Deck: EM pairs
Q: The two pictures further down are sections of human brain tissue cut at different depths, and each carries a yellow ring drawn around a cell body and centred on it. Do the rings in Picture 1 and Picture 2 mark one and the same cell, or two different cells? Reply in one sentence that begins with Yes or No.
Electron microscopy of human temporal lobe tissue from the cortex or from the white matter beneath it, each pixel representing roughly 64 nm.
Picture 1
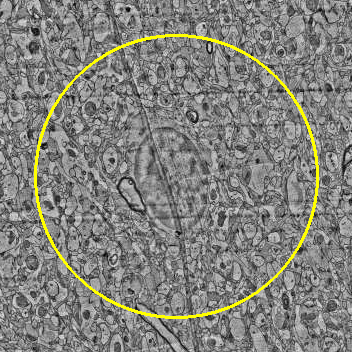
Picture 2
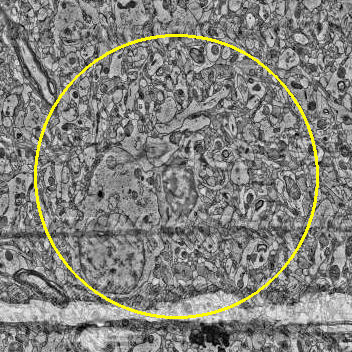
No, two distinct cells are each enclosed by a yellow ring.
